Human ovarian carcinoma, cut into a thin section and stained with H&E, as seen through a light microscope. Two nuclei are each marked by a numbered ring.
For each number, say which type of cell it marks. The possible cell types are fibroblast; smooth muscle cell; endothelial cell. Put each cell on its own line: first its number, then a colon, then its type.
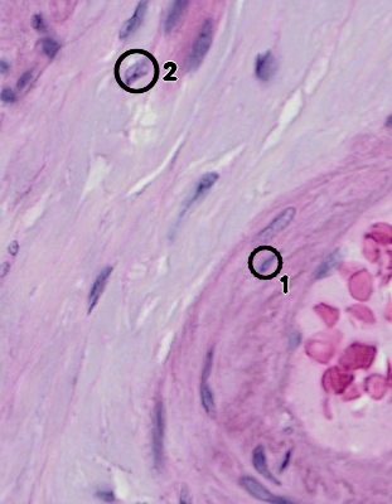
1: smooth muscle cell
2: fibroblast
